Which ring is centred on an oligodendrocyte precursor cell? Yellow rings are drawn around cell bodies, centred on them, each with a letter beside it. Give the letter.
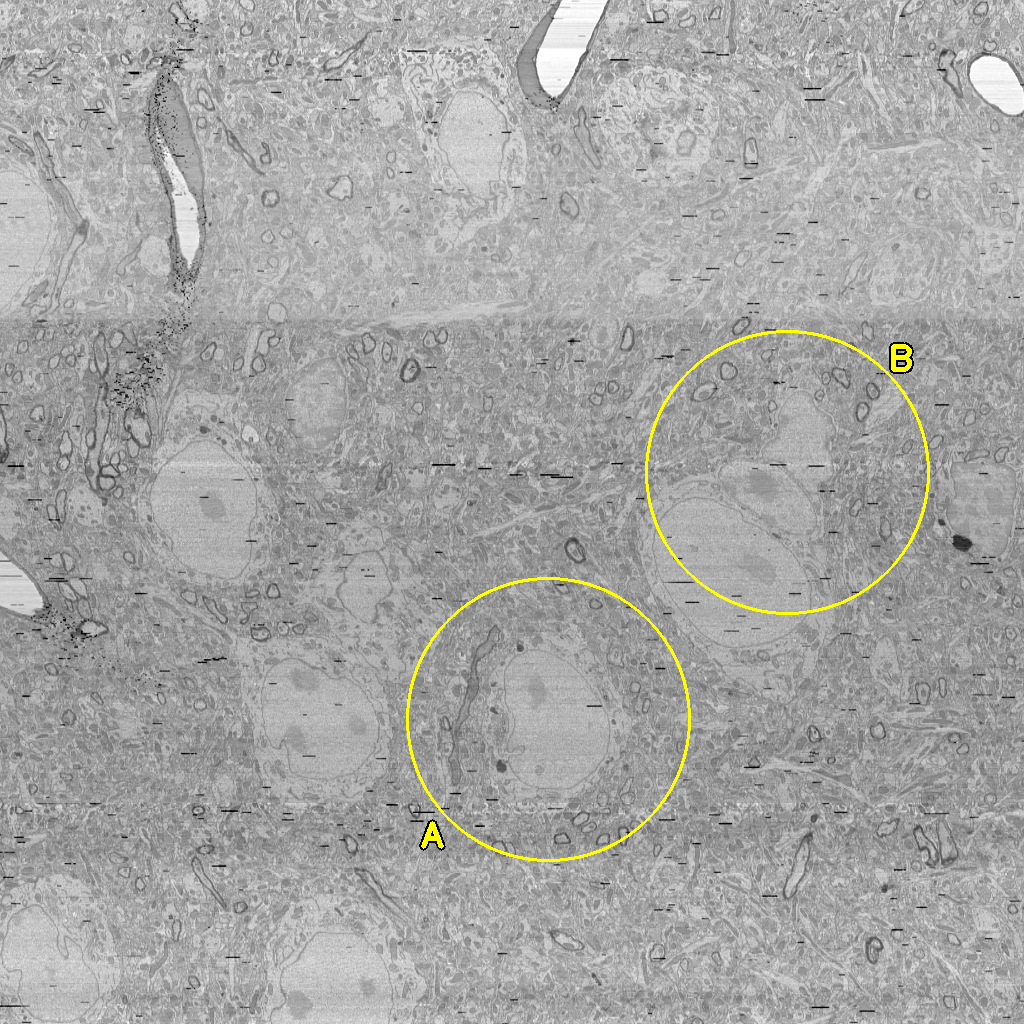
B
